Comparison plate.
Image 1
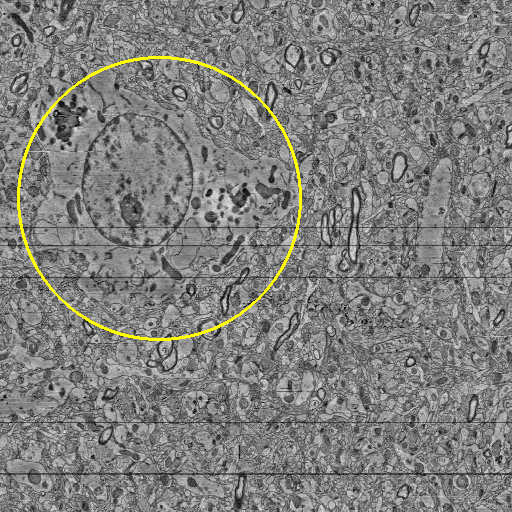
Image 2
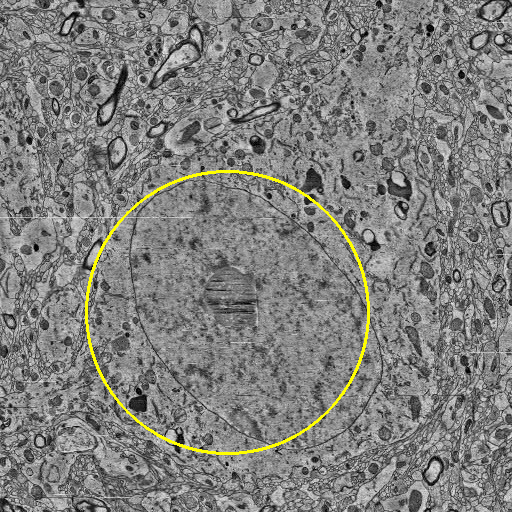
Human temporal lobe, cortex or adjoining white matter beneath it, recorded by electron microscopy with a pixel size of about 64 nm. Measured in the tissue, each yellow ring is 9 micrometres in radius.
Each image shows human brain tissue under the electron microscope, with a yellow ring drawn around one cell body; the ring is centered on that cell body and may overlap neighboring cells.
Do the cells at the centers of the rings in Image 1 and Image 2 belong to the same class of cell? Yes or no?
no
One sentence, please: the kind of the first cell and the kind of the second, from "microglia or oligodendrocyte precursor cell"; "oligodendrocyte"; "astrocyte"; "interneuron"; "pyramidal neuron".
The ring in the first picture surrounds an astrocyte, and the ring in the second surrounds a pyramidal neuron.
